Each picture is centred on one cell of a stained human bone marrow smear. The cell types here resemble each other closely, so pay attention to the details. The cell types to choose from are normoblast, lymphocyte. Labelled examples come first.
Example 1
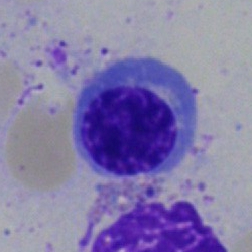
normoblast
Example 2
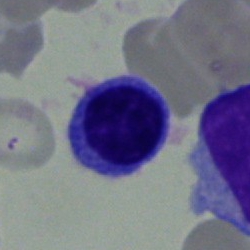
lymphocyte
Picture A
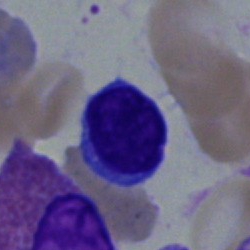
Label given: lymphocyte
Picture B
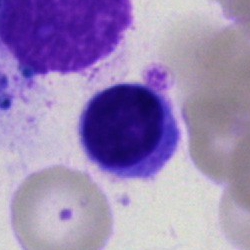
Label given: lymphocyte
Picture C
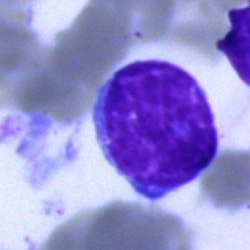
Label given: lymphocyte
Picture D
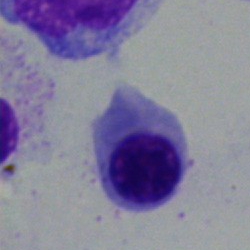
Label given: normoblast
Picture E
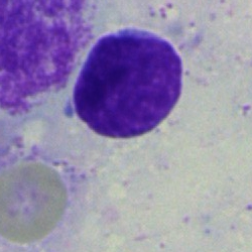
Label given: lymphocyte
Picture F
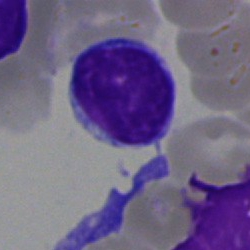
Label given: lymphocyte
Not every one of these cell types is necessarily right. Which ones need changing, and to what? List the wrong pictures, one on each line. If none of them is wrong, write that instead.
All labels are correct.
